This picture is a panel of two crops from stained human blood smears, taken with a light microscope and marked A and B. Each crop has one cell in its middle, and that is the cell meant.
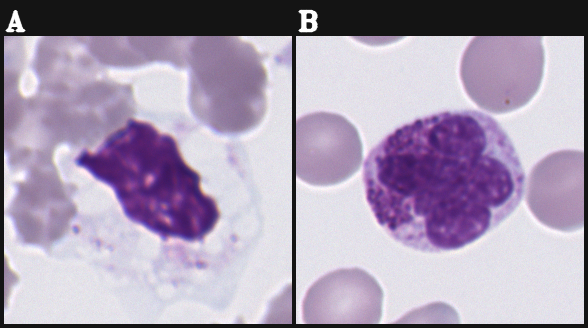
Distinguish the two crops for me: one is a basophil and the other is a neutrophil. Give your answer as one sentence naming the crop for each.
In crop A, a neutrophil is present; in crop B, a basophil is present.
